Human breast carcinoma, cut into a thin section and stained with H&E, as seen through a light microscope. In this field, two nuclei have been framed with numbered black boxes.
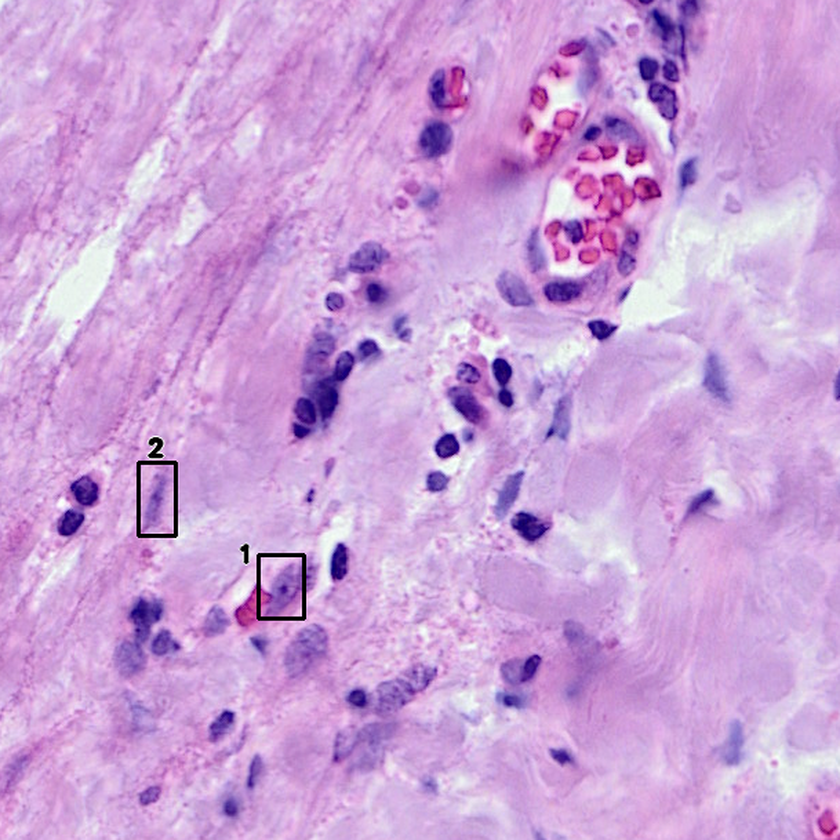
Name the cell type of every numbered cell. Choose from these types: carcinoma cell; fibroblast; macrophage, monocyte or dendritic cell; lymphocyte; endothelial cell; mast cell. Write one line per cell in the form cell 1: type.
cell 1: endothelial cell
cell 2: fibroblast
